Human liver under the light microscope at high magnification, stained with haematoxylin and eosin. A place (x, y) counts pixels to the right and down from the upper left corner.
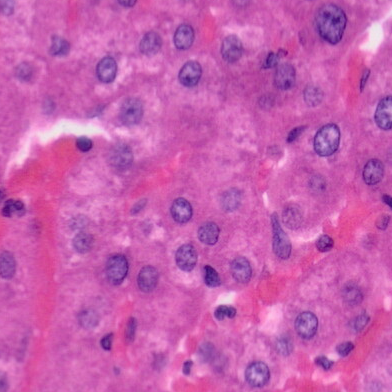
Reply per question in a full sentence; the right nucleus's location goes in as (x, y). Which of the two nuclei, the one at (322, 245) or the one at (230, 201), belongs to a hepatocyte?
Of the two nuclei, the one sitting at (230, 201) belongs to a hepatocyte.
